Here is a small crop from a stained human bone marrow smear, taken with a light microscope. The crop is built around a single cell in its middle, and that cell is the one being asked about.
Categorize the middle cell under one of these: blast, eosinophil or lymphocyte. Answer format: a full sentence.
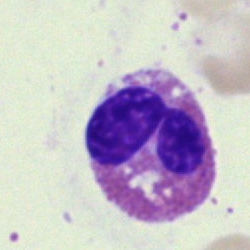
The cell at the centre of the field is an eosinophil.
